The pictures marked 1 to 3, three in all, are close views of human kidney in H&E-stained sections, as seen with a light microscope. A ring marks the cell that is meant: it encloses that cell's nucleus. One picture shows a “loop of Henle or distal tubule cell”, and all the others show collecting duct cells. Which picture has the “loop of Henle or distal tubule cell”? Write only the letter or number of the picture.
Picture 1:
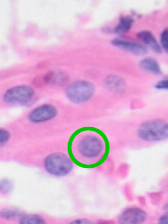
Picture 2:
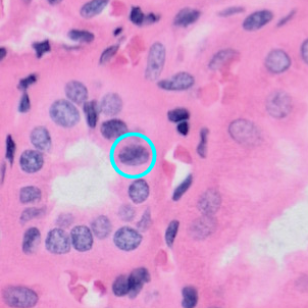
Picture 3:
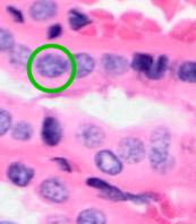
1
